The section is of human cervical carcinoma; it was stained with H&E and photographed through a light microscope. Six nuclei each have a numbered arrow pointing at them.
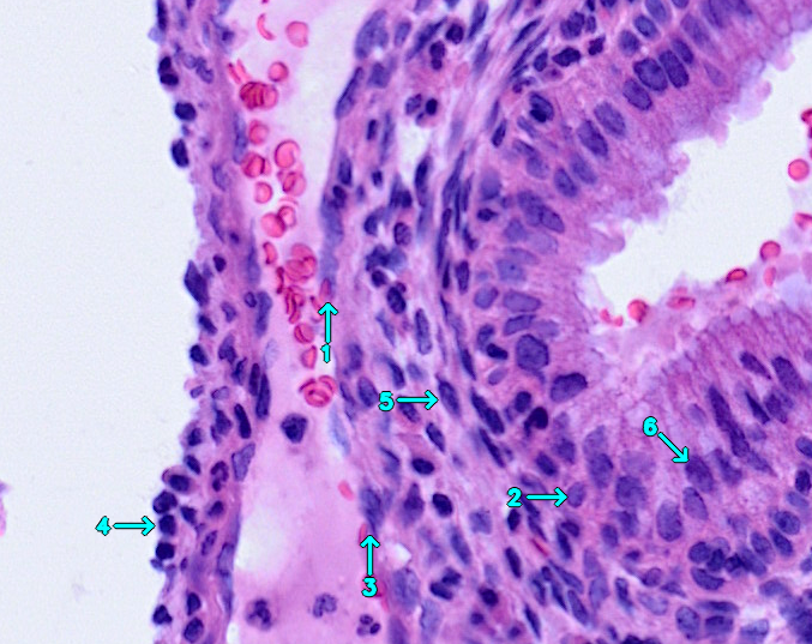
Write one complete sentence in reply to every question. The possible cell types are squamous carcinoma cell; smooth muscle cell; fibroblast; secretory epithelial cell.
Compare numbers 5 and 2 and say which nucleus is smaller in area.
Nucleus 2 covers less area, with nucleus 5 about 1.5 times as large.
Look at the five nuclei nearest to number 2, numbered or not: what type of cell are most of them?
Secretory epithelial cells make up most of the five nuclei closest to number 2.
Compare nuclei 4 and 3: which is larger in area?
The larger nucleus is 3, at roughly 2 times the area of 4.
